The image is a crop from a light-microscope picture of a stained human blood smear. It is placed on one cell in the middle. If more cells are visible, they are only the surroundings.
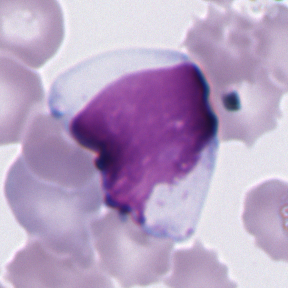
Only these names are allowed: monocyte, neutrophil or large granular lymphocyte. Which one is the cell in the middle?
large granular lymphocyte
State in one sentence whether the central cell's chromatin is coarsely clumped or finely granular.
The chromatin is fine, with no coarse clumping anywhere.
